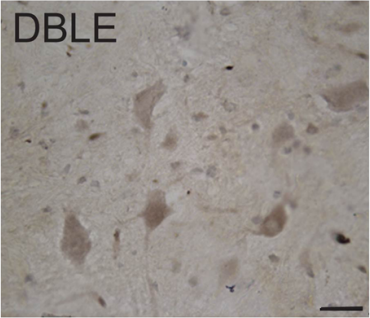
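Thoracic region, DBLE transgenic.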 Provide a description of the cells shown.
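This is a section of spinal cord grey matter with several large motor neurons stained light brown. Their cell bodies are angular or rounded and much larger than the surrounding cells, some with short tapering processes. The brown colour fills the cytoplasm fairly evenly. Scattered between them are many small pale round nuclei and a few small dark dots in a pale, finely textured background.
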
